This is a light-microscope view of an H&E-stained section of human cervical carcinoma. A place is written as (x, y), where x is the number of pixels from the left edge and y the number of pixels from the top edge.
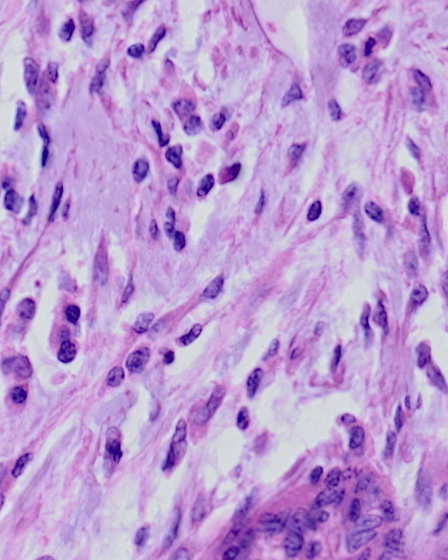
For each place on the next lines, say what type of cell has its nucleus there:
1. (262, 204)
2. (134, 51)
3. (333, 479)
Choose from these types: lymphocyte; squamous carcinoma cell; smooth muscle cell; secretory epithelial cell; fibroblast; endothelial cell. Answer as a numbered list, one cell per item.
1. fibroblast
2. lymphocyte
3. squamous carcinoma cell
